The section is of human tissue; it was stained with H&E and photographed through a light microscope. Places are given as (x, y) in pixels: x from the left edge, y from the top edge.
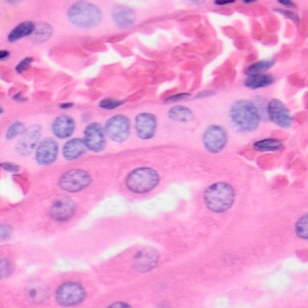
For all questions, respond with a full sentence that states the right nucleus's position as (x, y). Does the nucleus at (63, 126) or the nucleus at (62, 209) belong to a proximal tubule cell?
Of the two nuclei, the one sitting at (62, 209) belongs to a proximal tubule cell.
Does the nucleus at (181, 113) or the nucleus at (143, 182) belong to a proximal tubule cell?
Between the two nuclei, the one sitting at (143, 182) belongs to a proximal tubule cell.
